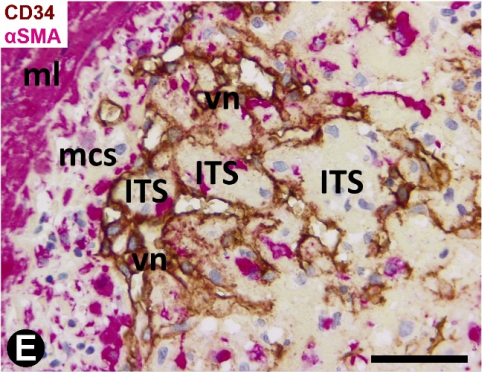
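A dense network of small vessels lined by brown-stained endothelial cells lies beside a band of red-stained muscular layer at the left edge. The brown-lined channels branch and form loops around pale, sparsely cellular areas of interstitial tissue.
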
